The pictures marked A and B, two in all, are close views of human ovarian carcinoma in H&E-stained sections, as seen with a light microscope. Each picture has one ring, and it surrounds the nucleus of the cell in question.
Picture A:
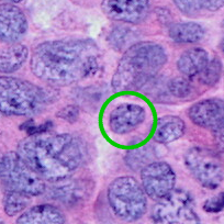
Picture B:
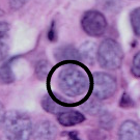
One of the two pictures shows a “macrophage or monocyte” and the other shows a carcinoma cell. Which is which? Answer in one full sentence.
The cell in picture A is a “macrophage or monocyte”, and the one in picture B is a carcinoma cell.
